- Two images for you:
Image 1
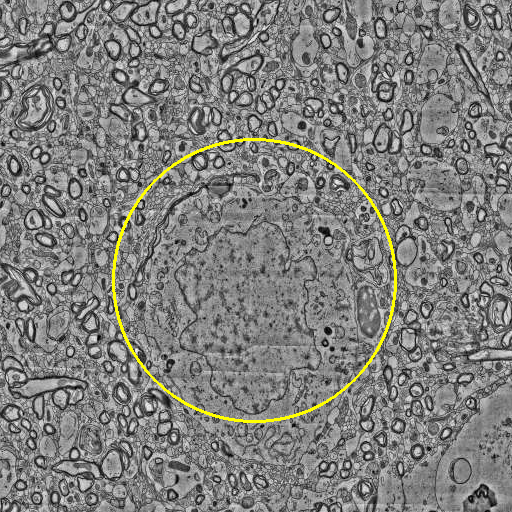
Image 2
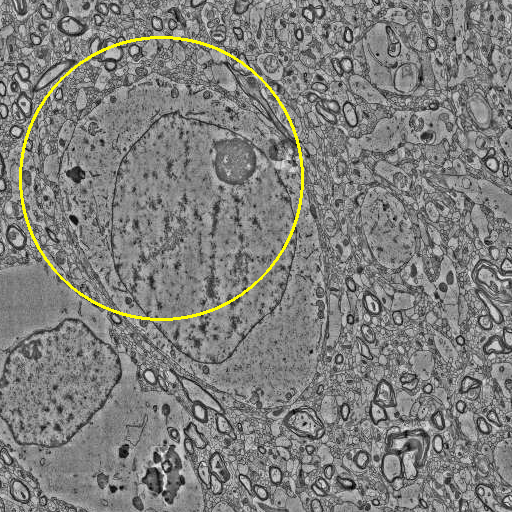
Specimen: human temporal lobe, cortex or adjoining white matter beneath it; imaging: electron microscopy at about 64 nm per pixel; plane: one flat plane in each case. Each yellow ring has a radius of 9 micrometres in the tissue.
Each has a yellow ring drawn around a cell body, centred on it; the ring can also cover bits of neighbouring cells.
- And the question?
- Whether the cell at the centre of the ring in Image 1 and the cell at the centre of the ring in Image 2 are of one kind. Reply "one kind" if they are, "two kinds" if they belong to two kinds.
one kind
